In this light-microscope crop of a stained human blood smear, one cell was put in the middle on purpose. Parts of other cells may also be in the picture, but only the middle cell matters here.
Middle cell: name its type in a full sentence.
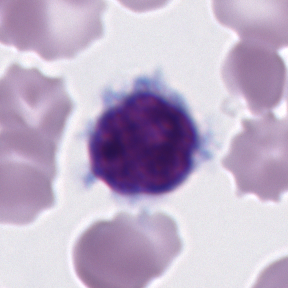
Within this crop, a hairy cell occupies the central position.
